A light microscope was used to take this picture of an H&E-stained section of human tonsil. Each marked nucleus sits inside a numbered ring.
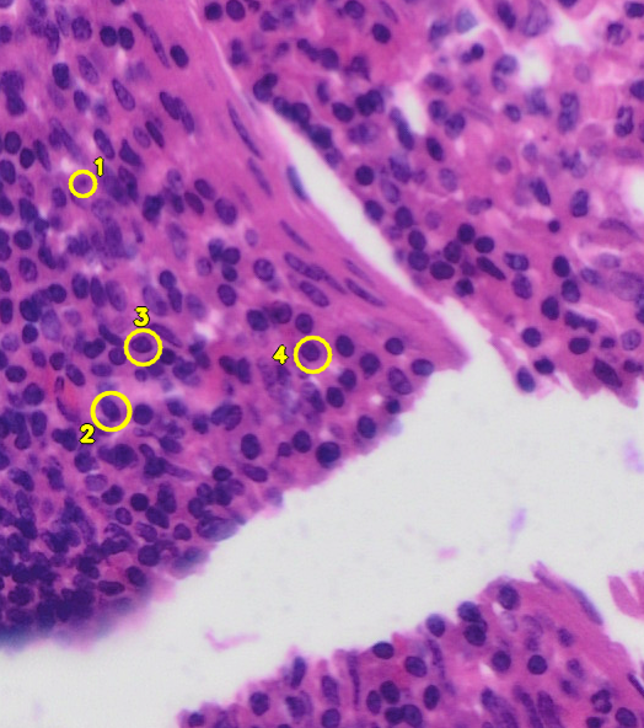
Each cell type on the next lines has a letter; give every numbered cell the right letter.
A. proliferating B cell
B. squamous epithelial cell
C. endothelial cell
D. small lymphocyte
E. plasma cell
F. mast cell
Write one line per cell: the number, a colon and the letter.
1: B
2: E
3: E
4: E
